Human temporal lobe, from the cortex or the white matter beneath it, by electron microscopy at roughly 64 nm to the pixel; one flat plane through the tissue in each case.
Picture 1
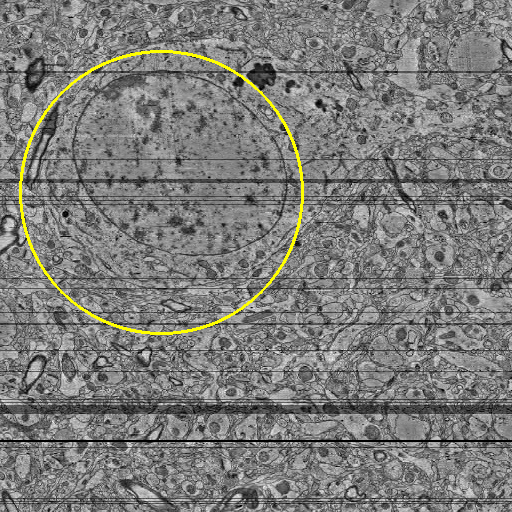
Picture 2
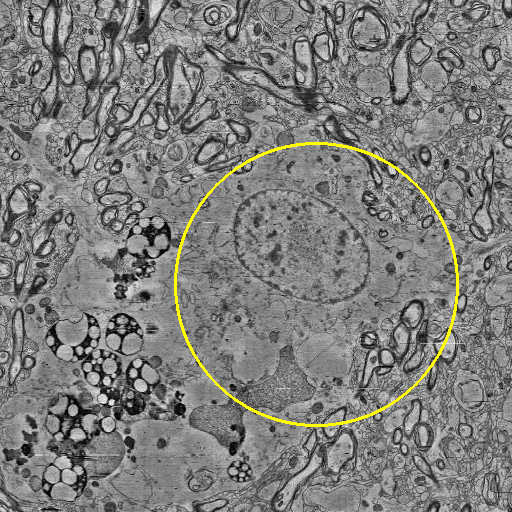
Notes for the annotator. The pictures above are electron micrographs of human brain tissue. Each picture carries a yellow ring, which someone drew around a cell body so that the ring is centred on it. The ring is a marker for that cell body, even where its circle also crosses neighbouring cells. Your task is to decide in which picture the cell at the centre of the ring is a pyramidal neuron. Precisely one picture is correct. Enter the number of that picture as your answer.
1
